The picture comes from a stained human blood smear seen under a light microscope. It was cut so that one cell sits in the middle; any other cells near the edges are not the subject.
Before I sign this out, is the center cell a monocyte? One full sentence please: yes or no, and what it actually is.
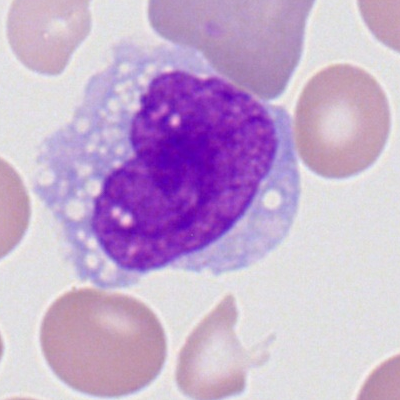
Yes, the cell shown in the middle is a monocyte.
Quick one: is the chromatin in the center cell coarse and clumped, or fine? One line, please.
No coarse chromatin clumps are present; the pattern is fine.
